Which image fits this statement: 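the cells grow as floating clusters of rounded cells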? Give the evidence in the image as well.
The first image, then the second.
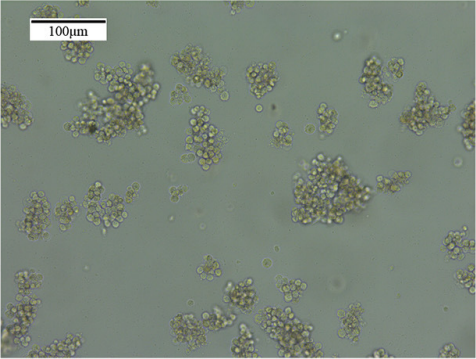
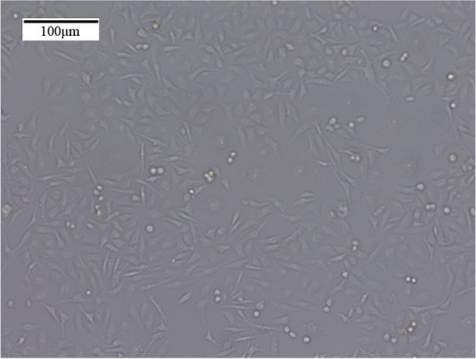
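The first image. First image: rounded cells are gathered into compact, separate clusters with empty background between them. Second image: the cells are flat, spread and spindle-shaped or polygonal, forming a near-continuous single layer with only a few round cells.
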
